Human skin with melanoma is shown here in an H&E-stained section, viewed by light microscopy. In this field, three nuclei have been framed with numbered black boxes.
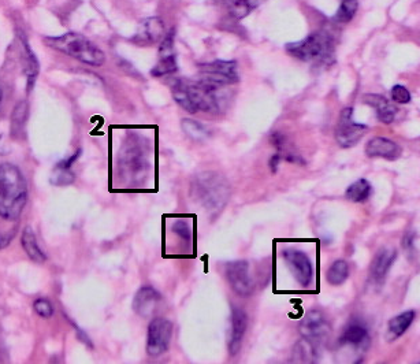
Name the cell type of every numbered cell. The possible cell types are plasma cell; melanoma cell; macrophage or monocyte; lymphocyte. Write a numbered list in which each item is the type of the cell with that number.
1. macrophage or monocyte
2. melanoma cell
3. macrophage or monocyte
